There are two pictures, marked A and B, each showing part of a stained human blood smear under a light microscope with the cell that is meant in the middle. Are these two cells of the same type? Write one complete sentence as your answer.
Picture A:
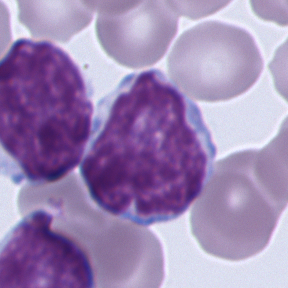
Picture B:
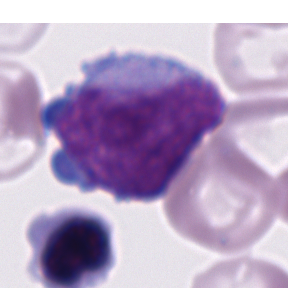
No, they differ: the cell is a typical lymphocyte in picture A and a myeloblast in picture B.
